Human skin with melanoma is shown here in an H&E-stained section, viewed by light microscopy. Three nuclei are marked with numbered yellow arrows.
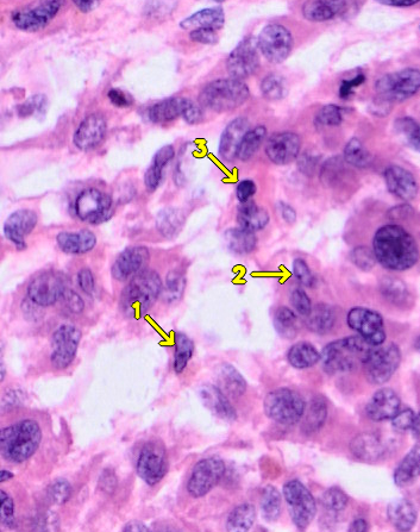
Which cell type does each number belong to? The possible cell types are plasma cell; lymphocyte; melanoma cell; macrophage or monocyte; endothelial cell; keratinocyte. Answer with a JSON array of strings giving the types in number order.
["macrophage or monocyte", "melanoma cell", "lymphocyte"]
